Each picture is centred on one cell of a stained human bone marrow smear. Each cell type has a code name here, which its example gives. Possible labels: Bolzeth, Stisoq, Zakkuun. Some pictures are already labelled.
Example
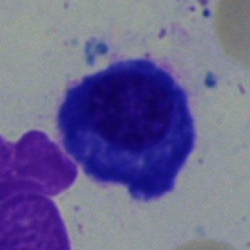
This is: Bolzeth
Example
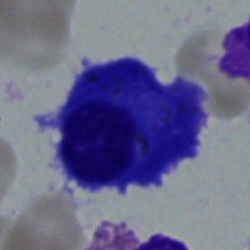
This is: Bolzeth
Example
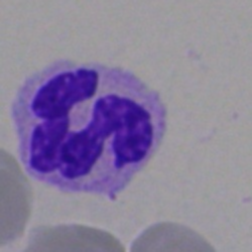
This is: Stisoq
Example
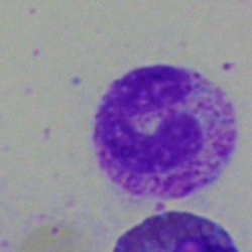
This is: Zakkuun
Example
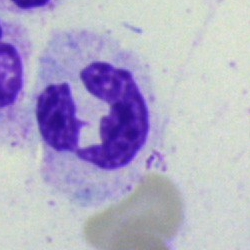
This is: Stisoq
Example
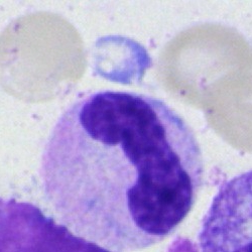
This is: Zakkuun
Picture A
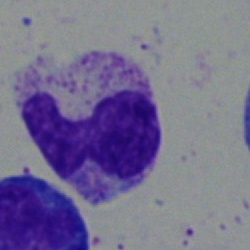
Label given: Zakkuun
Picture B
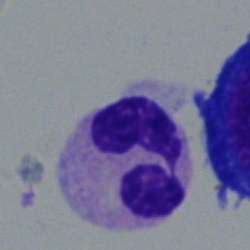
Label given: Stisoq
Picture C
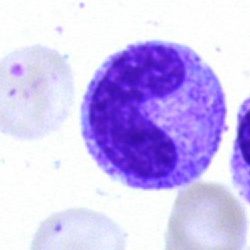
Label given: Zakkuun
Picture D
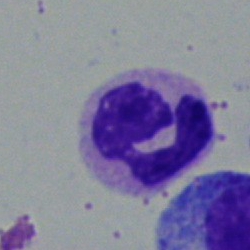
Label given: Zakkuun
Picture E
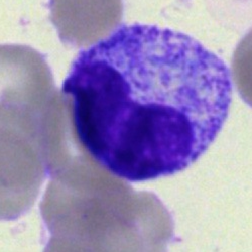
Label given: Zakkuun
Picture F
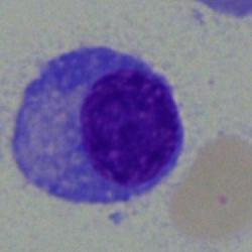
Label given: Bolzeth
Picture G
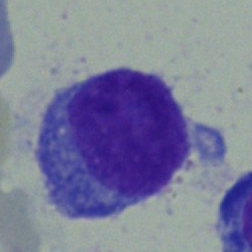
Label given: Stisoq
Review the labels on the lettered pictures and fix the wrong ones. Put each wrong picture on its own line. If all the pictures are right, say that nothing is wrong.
D: Stisoq, not Zakkuun
G: Bolzeth, not Stisoq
